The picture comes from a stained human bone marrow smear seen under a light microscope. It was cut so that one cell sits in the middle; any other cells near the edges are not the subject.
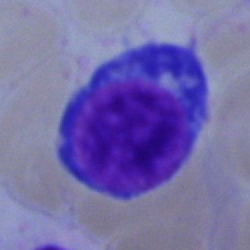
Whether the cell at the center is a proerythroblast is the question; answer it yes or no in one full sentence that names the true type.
Yes, at the centre of the crop lies a proerythroblast.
